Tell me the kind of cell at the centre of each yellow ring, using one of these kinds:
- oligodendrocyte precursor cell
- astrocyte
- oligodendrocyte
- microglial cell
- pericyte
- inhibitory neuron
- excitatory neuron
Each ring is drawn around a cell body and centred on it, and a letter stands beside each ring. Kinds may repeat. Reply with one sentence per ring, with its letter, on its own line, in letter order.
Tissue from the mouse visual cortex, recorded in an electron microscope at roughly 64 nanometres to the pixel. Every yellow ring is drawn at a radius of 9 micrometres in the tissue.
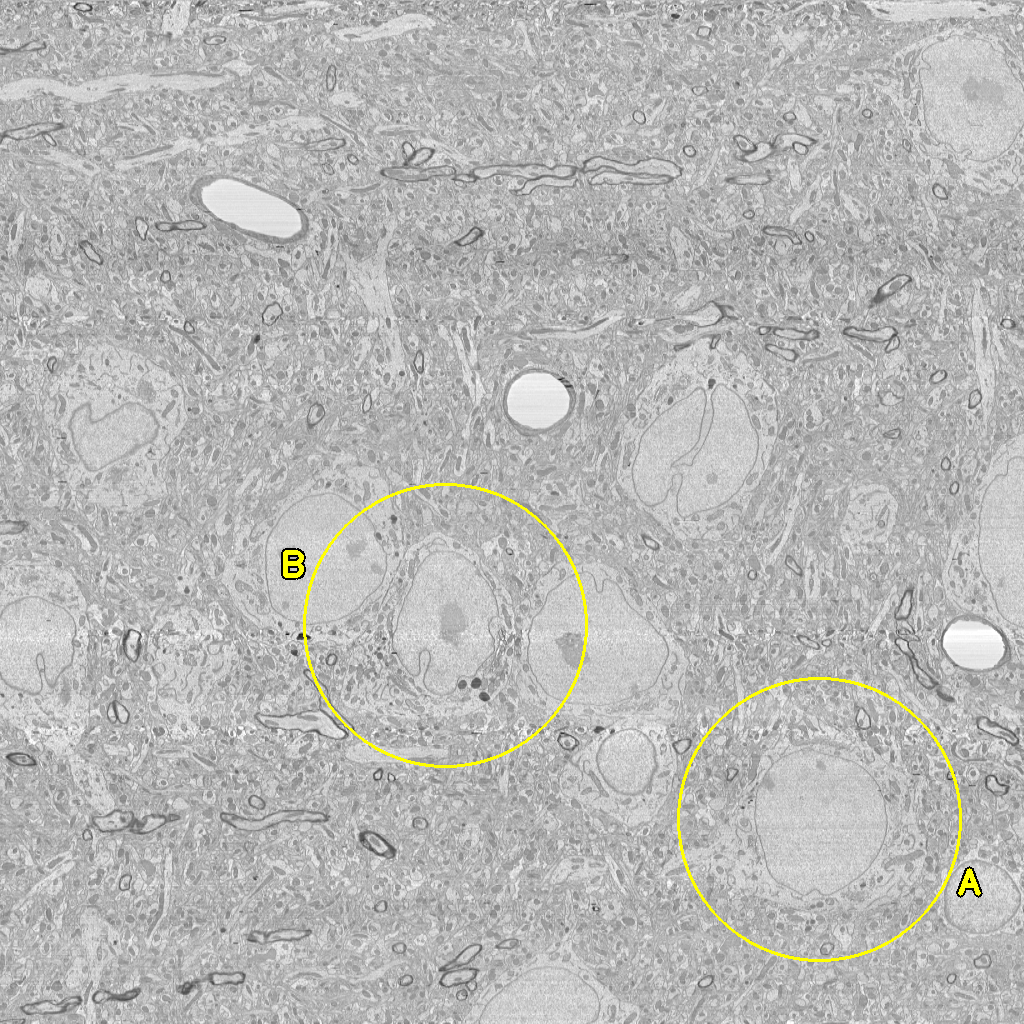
The ring labelled A is centred on an excitatory neuron.
The ring labelled B is centred on an inhibitory neuron.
